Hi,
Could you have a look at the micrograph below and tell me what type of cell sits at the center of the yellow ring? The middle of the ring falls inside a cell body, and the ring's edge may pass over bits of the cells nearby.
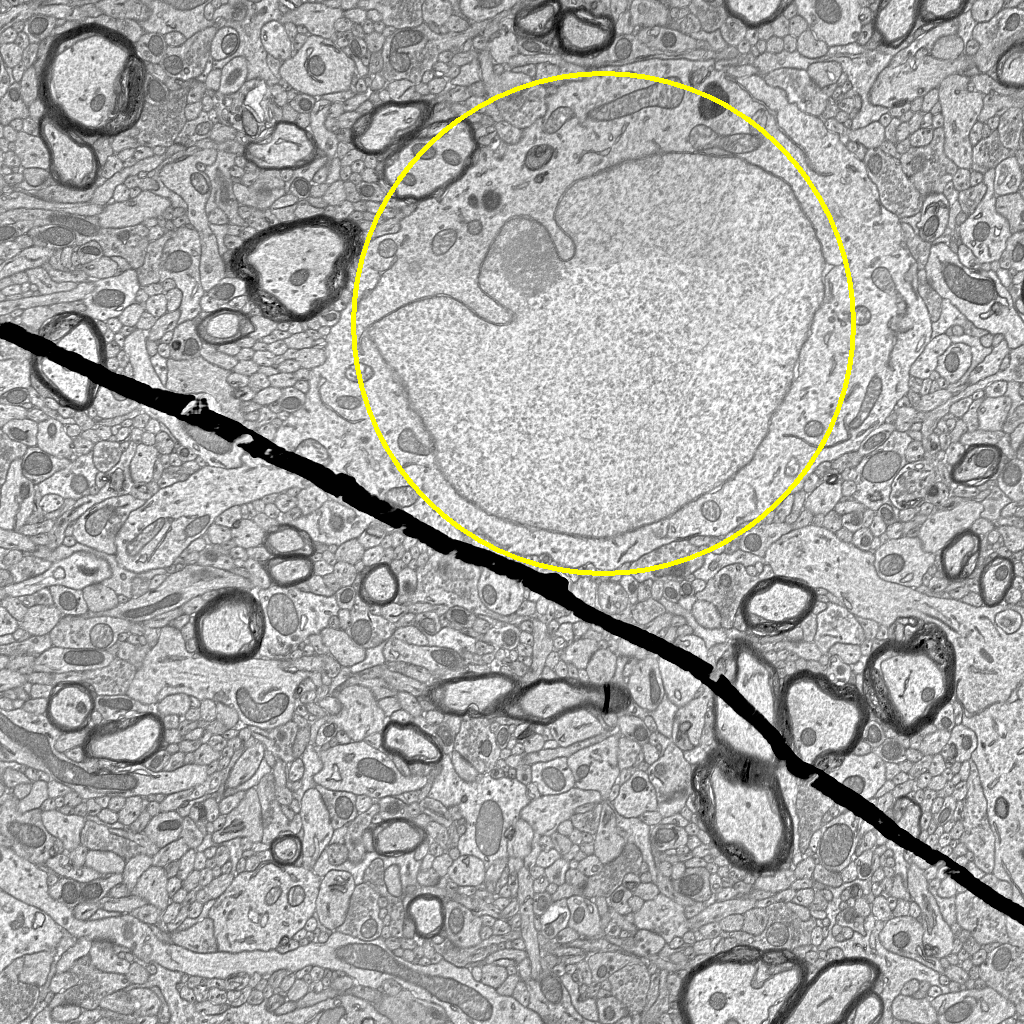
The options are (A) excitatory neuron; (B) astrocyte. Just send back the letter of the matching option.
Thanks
A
